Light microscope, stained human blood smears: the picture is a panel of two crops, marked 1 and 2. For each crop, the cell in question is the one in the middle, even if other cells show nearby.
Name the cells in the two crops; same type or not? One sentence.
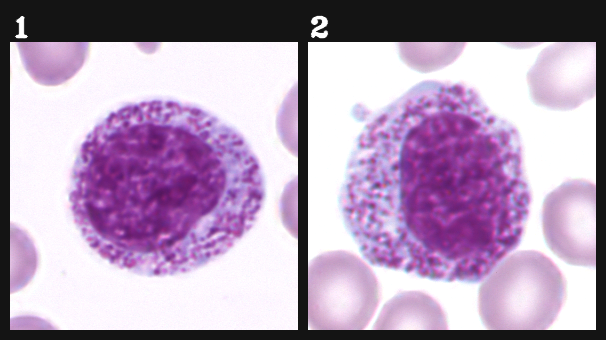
Yes, with regard to both crops, the central cells are myelocytes.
